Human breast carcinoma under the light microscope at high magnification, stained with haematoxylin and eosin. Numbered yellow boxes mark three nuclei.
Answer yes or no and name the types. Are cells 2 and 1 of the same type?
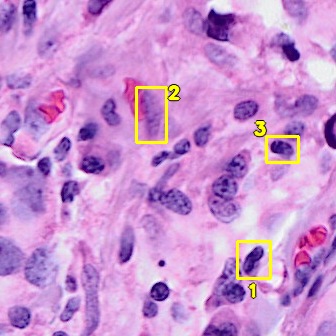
No; whereas cell 2 is an endothelial cell, cell 1 is a lymphocyte.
